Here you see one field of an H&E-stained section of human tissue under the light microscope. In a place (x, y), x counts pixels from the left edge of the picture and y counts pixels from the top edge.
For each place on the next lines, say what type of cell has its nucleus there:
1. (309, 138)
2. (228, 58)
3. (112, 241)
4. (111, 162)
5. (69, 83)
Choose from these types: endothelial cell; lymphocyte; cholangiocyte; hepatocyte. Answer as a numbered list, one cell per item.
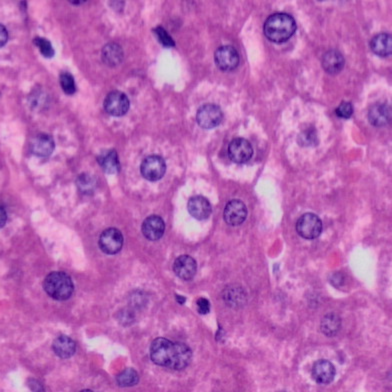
1. hepatocyte
2. hepatocyte
3. hepatocyte
4. endothelial cell
5. lymphocyte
